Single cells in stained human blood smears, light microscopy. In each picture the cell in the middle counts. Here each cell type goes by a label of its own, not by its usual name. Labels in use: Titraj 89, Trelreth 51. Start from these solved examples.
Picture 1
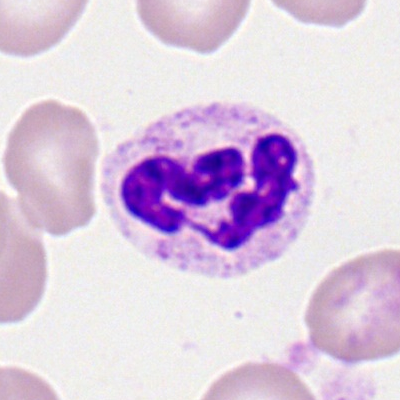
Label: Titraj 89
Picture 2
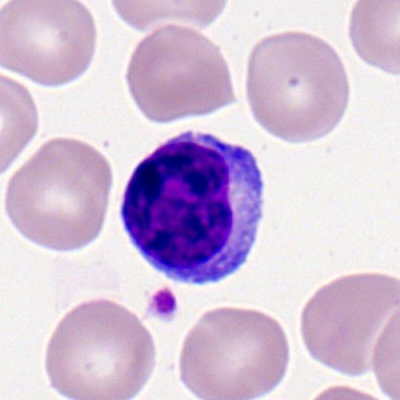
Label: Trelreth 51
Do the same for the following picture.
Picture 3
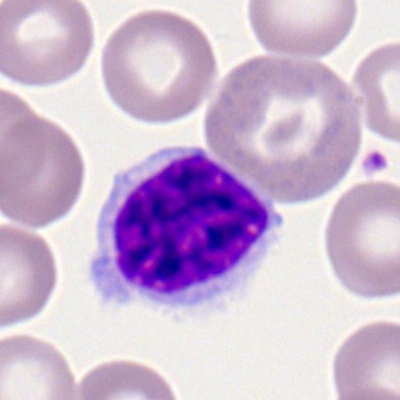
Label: Trelreth 51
